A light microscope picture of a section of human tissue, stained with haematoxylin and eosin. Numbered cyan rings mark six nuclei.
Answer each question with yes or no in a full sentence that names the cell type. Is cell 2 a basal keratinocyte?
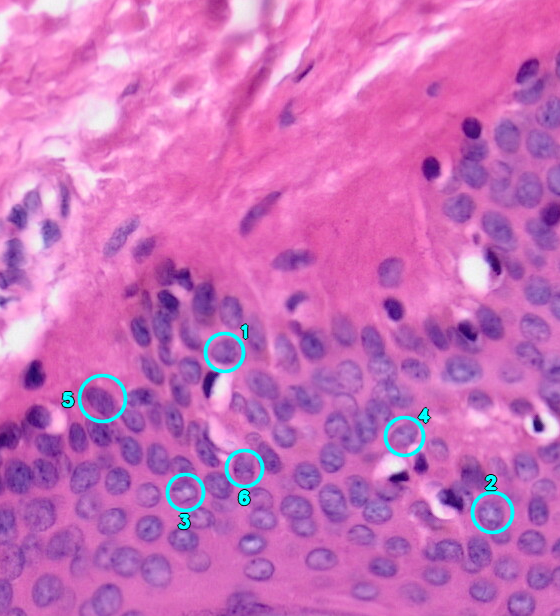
No, cell number 2 is a suprabasal keratinocyte; it is not a basal keratinocyte.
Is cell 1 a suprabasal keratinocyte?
No. Cell number 1 is a basal keratinocyte, not a suprabasal keratinocyte.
